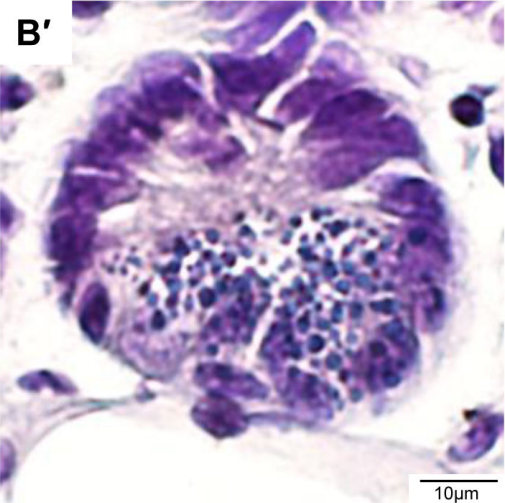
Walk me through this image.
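This is an intestinal crypt cut across, with Paneth cells filling its base. Their cytoplasm holds many small round granules that here appear blue-purple, clustered toward the centre of the crypt, with no brown colour anywhere. Nuclei sit at the outer edge of the cells, deep purple. Above, tall columnar epithelial cells with elongated purple nuclei radiate toward a small lumen. Thin connective tissue with a few flattened nuclei surrounds the crypt on the outside.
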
